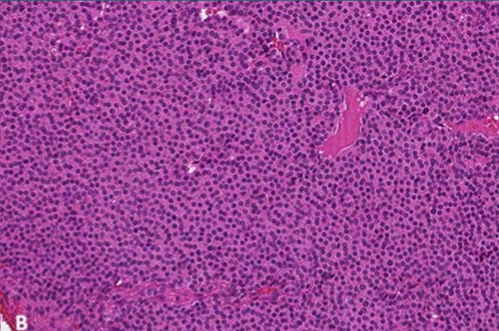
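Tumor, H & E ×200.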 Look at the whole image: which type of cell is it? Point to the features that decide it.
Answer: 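Solid sheets of uniform, evenly spaced cells. Each cell has a round, dark, centrally placed nucleus. The cytoplasm is pink. Small thin-walled vessels run between the sheets.
Conclusion: Glomus cells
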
